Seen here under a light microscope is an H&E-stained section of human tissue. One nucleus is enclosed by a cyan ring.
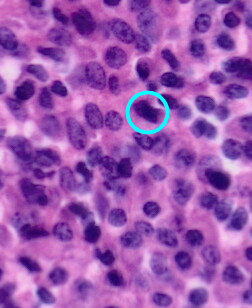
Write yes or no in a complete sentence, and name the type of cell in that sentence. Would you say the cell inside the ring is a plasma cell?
Yes, in this field of view, the cell inside the ring is a plasma cell.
